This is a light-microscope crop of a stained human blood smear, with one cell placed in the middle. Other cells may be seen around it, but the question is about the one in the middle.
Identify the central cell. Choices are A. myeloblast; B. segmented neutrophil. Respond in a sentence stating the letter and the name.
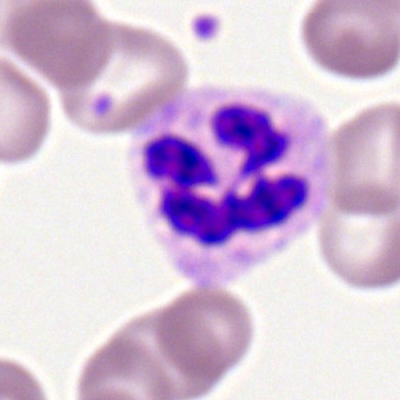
The correct option here is B; the middle cell is a segmented neutrophil.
